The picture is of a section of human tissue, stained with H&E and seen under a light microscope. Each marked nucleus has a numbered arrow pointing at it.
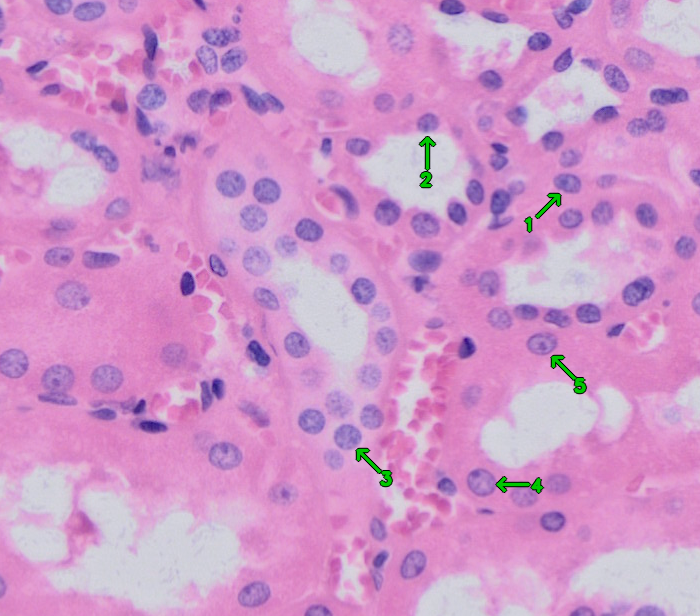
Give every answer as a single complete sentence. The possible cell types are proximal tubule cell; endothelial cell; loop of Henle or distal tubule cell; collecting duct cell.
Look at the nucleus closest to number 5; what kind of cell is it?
It is a loop of Henle or distal tubule cell whose nucleus is nearest to number 5.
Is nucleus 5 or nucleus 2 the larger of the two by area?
Number 5 is larger; its area is about 1.5 times that of number 2.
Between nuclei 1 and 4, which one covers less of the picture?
It is nucleus 1; nucleus 4 has about 1.5 times its area.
